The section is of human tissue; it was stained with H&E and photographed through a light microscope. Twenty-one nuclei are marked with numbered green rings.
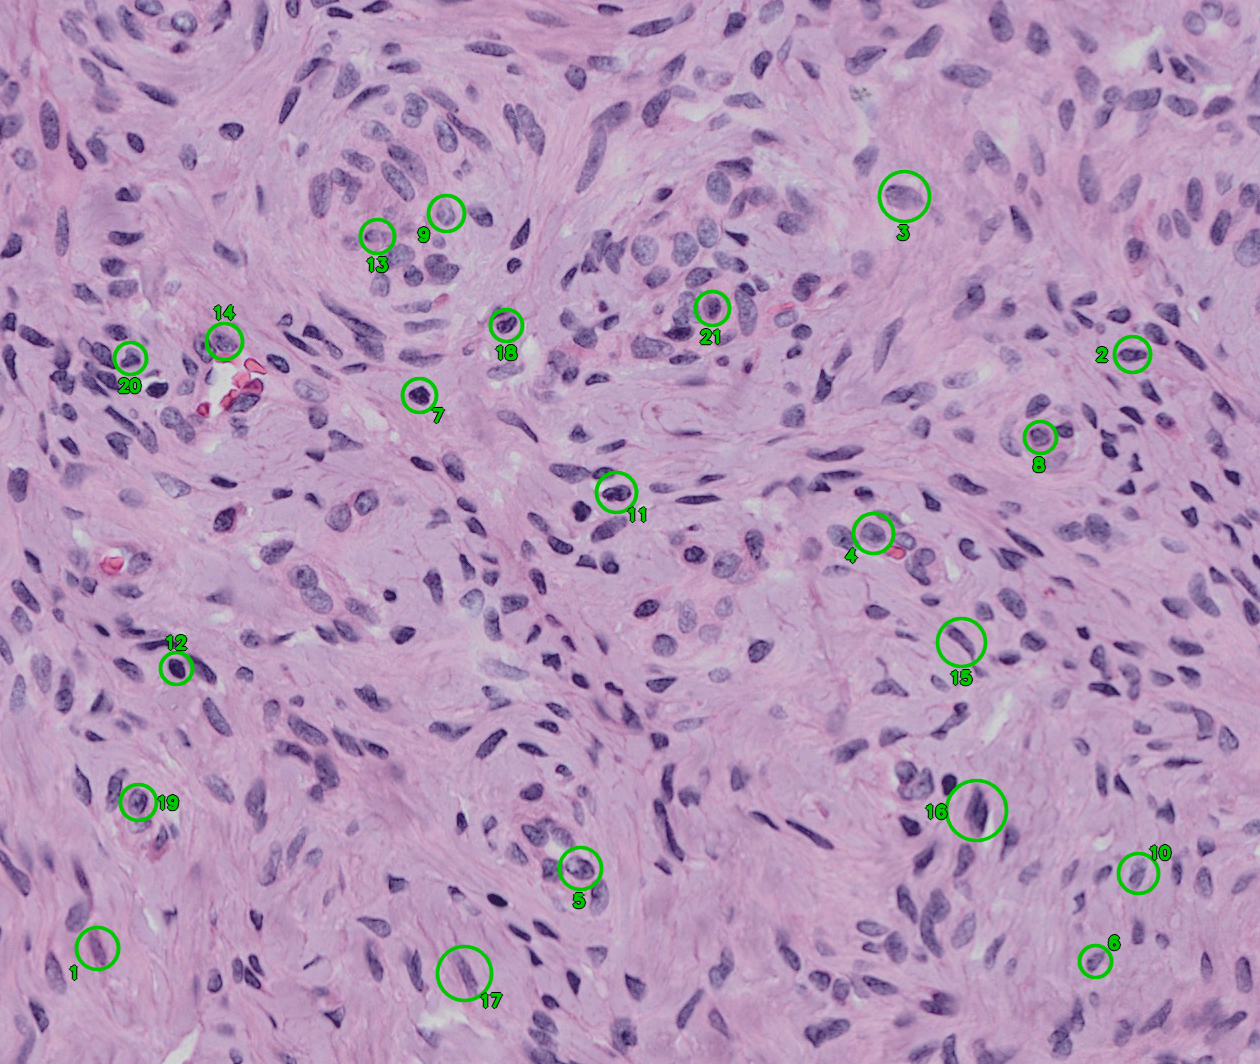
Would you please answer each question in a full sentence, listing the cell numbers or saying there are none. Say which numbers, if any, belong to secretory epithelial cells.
The group of numbered cells contains no secretory epithelial cells.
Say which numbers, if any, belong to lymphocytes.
Cells numbered 7, 11, 12 and 18 belong to the group of lymphocytes.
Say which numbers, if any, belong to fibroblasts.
Cells 2, 3, 6, 10, 15 and 20 are classified as fibroblasts.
